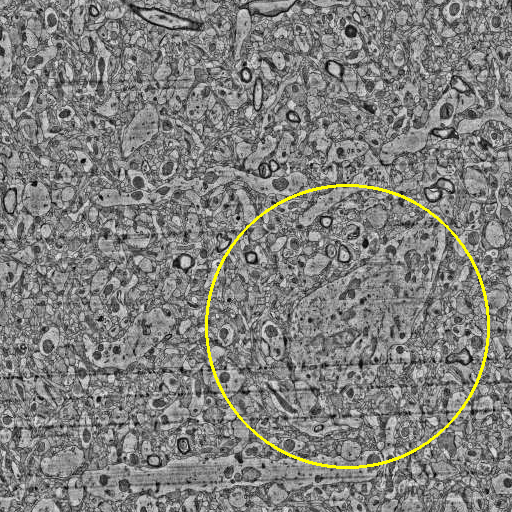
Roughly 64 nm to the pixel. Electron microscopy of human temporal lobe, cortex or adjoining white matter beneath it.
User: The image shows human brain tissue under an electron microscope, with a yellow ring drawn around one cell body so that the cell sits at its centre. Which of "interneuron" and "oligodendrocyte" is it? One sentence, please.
At the centre of the ring sits an interneuron.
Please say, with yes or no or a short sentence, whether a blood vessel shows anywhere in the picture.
No, no vessel appears in the picture.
